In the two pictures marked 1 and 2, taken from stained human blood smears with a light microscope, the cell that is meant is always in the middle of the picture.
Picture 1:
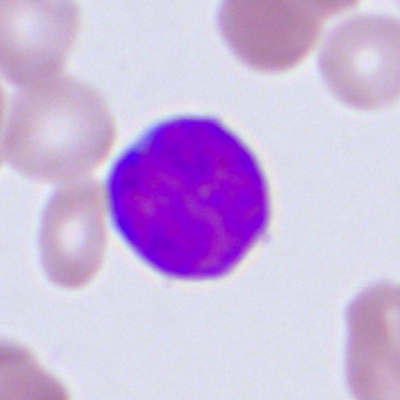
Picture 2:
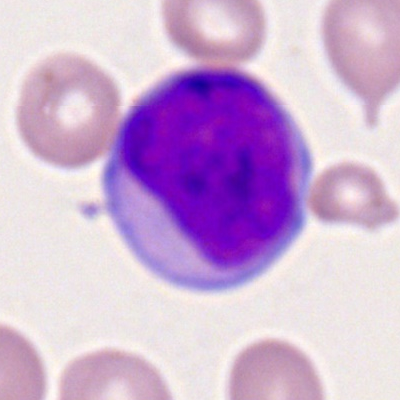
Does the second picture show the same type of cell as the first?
yes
